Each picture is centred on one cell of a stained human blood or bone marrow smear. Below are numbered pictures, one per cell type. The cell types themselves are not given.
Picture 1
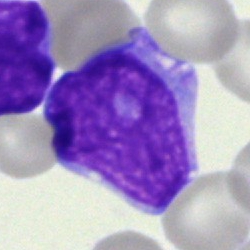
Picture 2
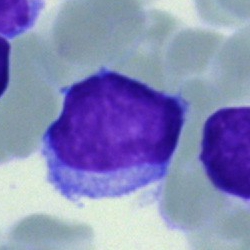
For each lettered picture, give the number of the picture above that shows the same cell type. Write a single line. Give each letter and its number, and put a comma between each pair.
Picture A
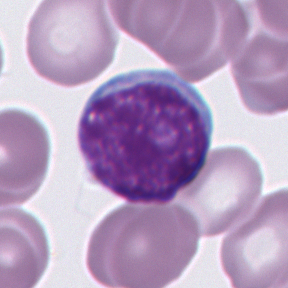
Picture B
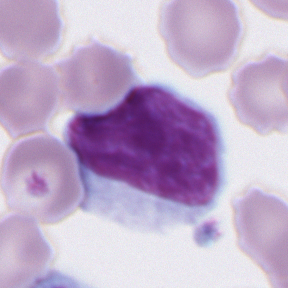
A 2, B 2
